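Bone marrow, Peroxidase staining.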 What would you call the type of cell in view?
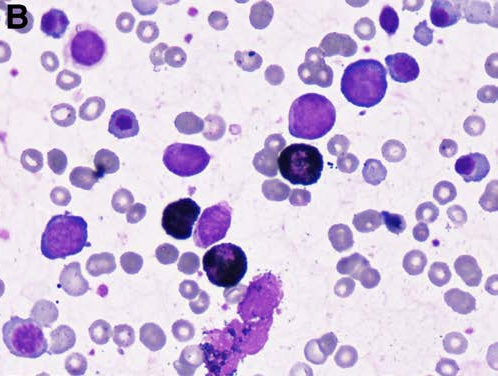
Blast cells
